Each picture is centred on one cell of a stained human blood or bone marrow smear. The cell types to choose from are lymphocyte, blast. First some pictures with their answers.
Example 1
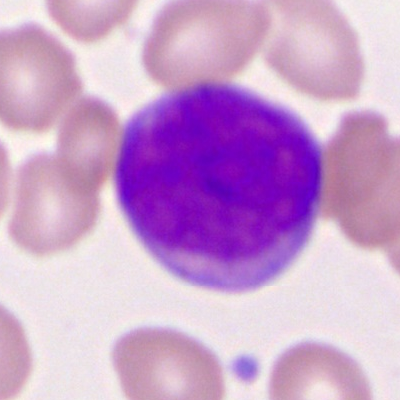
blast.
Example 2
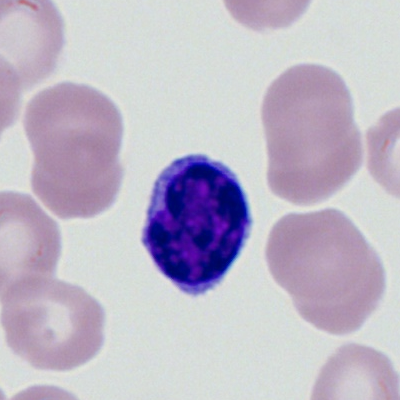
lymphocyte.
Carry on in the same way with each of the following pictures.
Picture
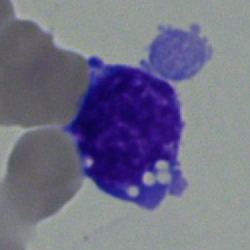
blast.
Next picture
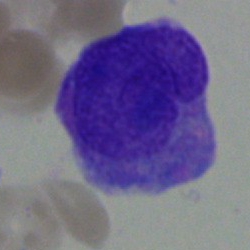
blast.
